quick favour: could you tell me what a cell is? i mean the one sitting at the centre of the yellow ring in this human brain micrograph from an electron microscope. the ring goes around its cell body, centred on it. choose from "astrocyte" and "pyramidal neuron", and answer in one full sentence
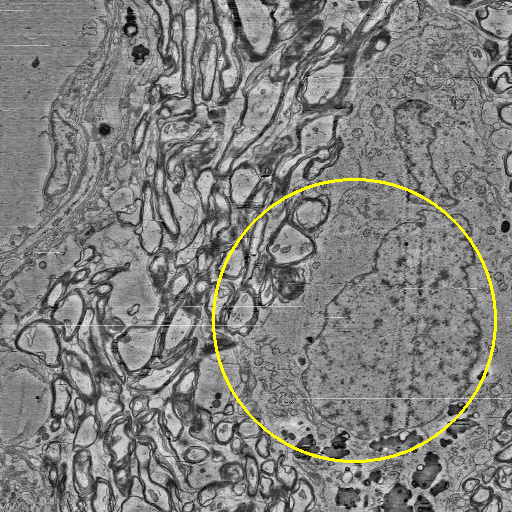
That's a pyramidal neuron, the cell sitting at the centre of the yellow ring.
